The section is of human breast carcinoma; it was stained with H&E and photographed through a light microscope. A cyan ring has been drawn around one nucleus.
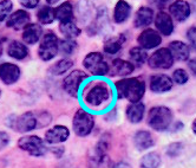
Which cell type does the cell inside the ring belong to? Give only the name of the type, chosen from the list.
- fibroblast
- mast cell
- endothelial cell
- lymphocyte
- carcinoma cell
lymphocyte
